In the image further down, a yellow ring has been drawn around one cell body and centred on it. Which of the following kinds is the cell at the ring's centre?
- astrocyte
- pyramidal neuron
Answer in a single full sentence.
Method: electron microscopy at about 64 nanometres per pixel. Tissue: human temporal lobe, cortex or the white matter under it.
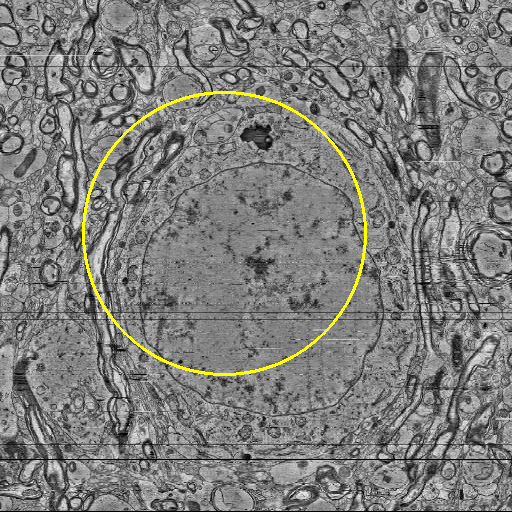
In the picture, the cell sitting at the centre of the yellow ring is a pyramidal neuron.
